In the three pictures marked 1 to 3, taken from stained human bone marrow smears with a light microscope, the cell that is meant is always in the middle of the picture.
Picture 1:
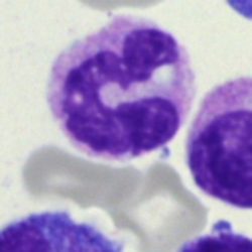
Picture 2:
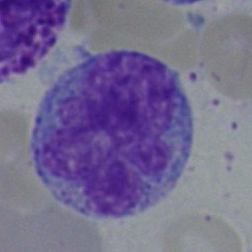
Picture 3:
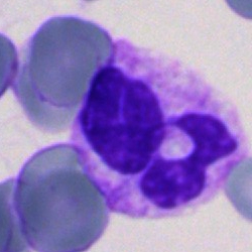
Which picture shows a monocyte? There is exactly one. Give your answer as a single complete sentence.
The cell in picture 2 is the monocyte.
